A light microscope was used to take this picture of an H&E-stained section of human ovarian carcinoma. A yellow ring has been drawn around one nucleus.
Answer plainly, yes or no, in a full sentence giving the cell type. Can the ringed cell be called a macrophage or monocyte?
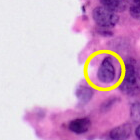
Yes, the ringed cell qualifies as a macrophage or monocyte in this section.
